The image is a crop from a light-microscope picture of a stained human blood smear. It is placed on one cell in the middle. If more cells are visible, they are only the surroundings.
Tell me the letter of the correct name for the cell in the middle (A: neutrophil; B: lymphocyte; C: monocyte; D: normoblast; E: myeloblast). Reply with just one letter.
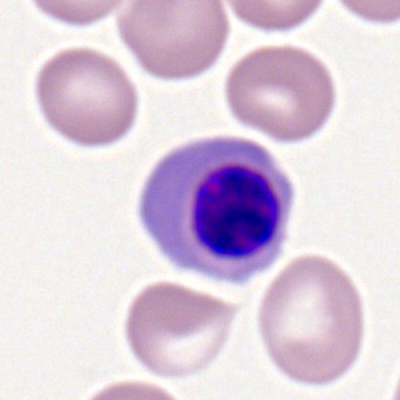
D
